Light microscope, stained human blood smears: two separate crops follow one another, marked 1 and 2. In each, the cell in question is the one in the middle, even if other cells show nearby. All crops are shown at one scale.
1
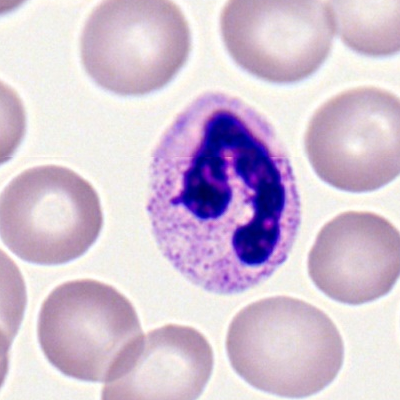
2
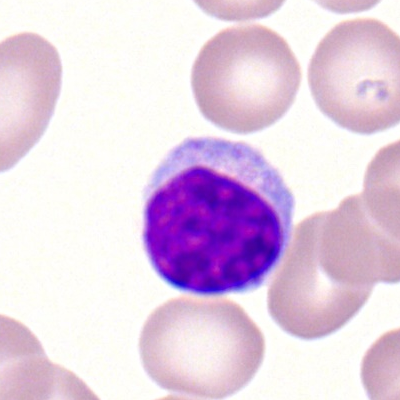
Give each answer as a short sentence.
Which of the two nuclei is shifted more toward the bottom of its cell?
Seen within its cell, the nucleus in picture 2 lies further toward the bottom.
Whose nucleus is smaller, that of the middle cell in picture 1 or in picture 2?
Picture 1 shows the smaller nucleus, since that in picture 2 covers about 1.5 times as much area.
